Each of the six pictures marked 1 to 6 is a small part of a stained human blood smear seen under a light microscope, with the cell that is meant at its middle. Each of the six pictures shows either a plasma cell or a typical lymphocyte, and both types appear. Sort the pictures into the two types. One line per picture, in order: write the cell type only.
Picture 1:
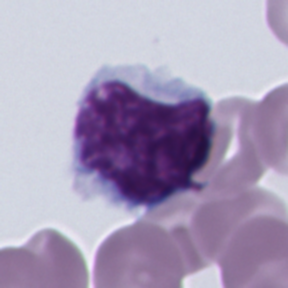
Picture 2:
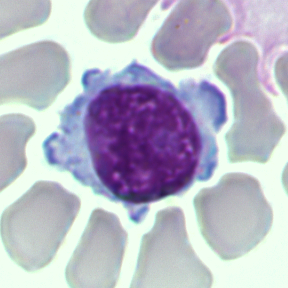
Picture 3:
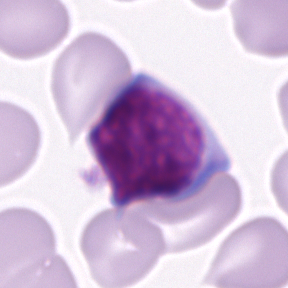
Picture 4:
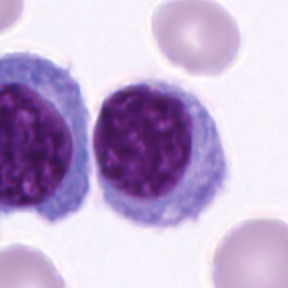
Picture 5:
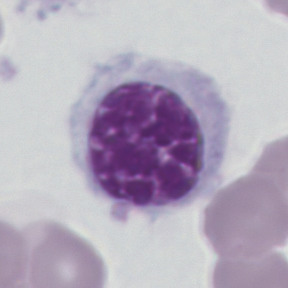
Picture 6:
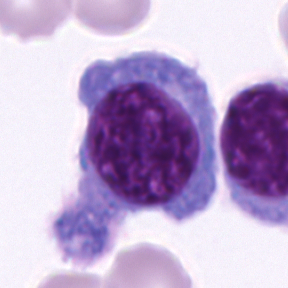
typical lymphocyte
plasma cell
typical lymphocyte
plasma cell
plasma cell
plasma cell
